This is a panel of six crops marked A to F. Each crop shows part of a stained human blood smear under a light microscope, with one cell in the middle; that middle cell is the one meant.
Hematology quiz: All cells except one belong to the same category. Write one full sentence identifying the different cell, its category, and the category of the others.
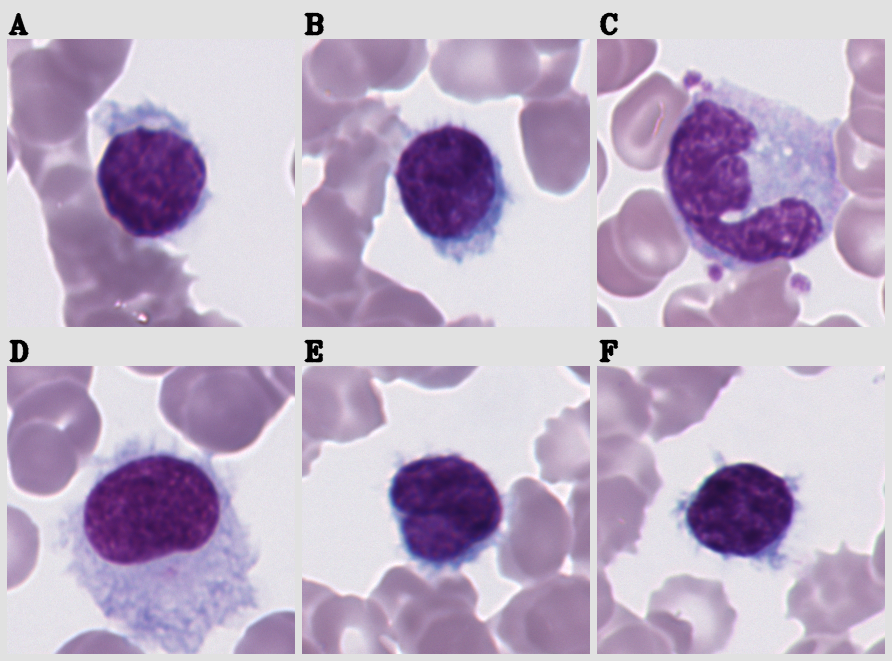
Unlike the other crops, which all show hairy cells, crop C is a monocyte.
